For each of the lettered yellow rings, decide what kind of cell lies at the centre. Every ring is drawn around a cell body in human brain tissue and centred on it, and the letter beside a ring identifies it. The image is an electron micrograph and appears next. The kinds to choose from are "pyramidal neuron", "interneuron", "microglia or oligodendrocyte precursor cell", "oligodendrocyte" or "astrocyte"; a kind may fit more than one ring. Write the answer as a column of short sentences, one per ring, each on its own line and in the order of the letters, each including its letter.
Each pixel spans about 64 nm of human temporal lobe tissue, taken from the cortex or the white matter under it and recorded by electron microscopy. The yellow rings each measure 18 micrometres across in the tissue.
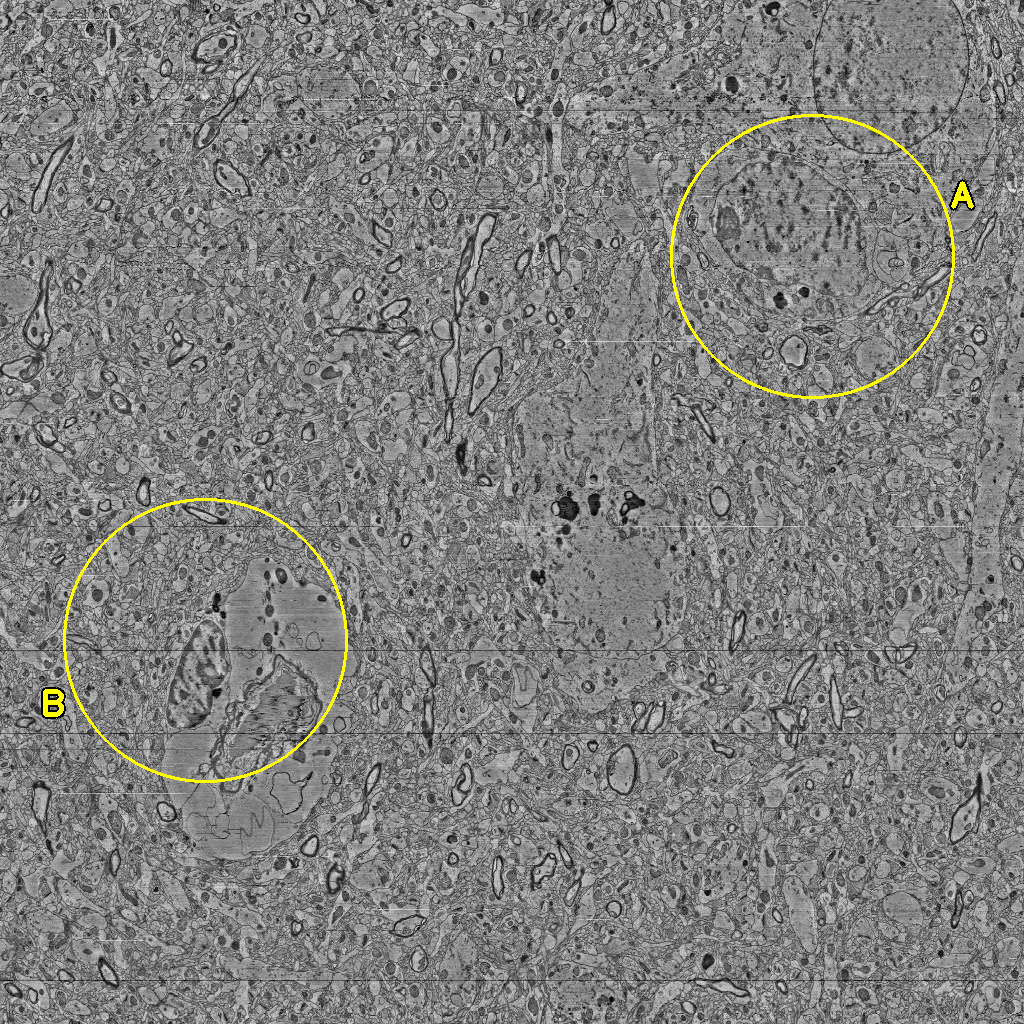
In the centre of ring A lies an interneuron.
In the centre of ring B lies a microglial cell or oligodendrocyte precursor cell.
